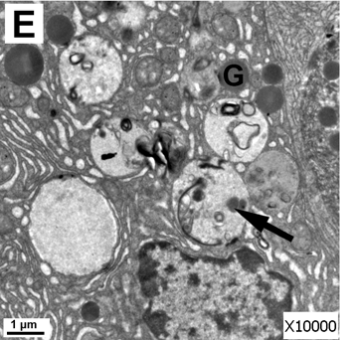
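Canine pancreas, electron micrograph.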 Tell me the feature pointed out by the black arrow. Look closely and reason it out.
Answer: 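Large autophagic vacuoles. The arrow points to a large round membrane-bound vacuole with pale content. The vacuole holds small dense fragments and membrane remnants. Several similar pale round vacuoles lie nearby in the cytoplasm.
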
